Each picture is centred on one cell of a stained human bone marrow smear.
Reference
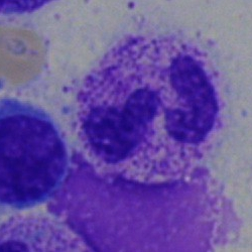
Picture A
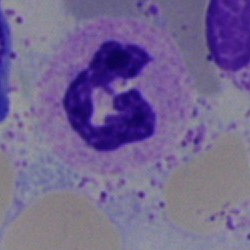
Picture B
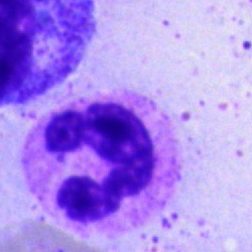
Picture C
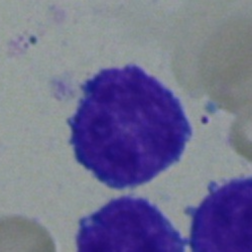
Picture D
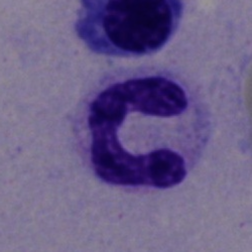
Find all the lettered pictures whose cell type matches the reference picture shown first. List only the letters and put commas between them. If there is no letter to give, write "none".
A, B, D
